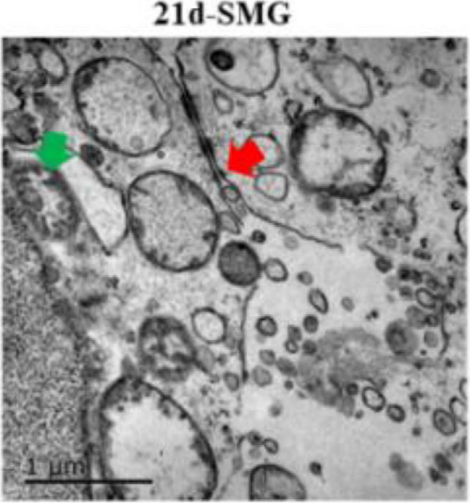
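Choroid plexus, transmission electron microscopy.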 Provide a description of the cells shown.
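Toward the right, many small round and oval membrane profiles are scattered in the lighter space, in keeping with cut surface projections. Within the cells there are several large, rounded organelles with pale, grainy interiors whose internal membranes are faint and hard to follow. A few smaller, denser organelles lie among them, and a red arrow marks a region where neighbouring cell membranes meet.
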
